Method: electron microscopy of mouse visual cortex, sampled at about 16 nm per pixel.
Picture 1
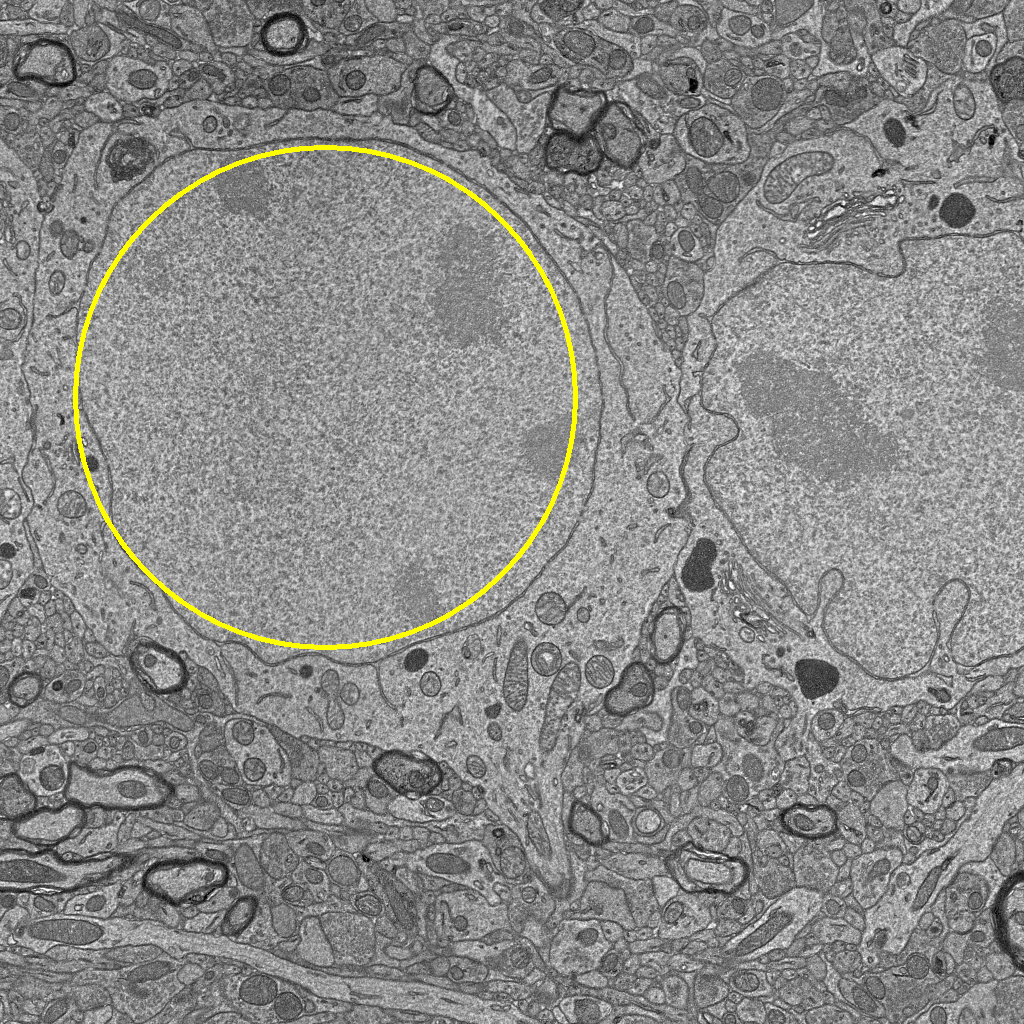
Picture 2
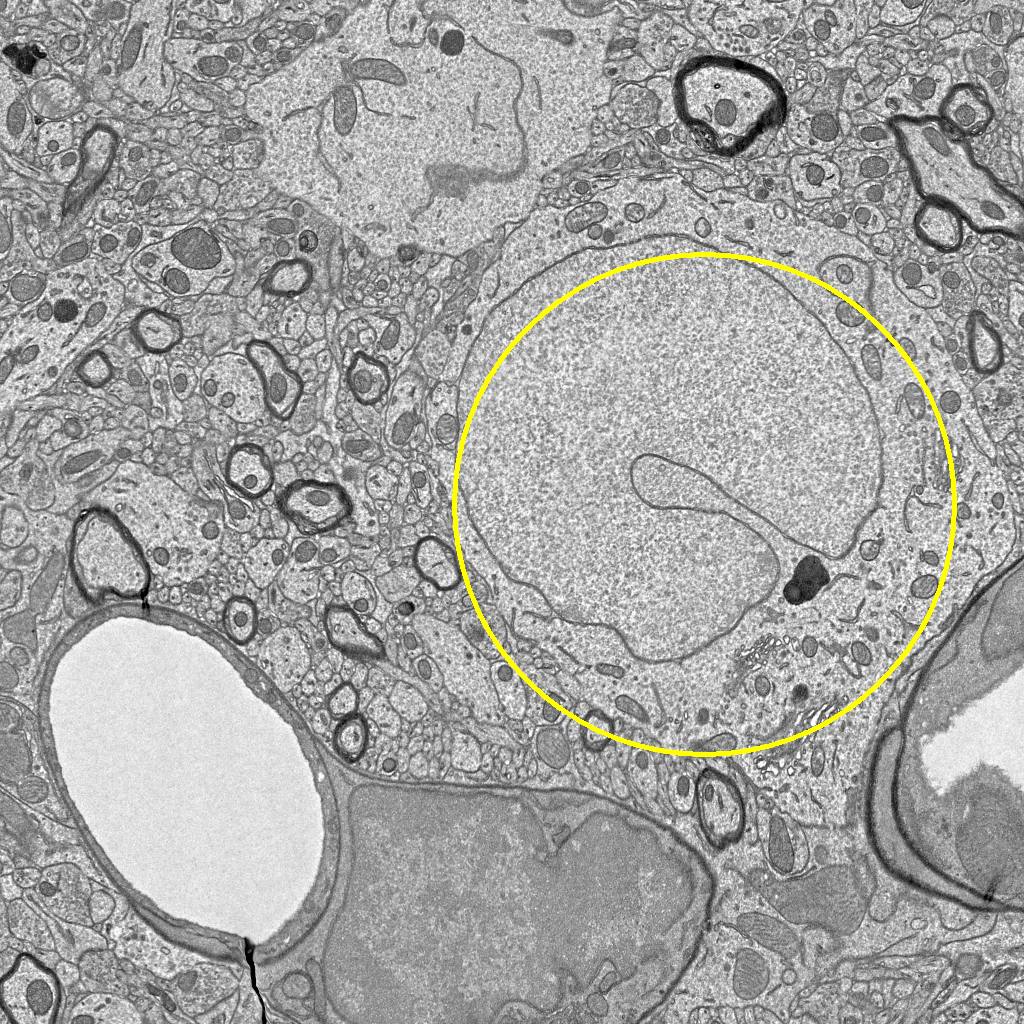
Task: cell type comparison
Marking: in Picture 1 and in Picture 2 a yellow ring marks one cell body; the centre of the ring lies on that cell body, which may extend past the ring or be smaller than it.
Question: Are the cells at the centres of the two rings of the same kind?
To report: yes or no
yes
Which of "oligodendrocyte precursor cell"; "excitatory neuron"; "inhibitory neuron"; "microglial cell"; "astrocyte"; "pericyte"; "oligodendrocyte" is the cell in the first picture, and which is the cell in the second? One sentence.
The cell in the first picture is an excitatory neuron, and so is the one in the second.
